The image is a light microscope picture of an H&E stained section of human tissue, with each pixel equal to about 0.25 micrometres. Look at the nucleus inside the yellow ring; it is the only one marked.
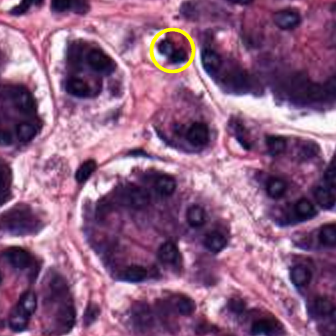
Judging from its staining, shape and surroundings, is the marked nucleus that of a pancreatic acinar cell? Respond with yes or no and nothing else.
no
